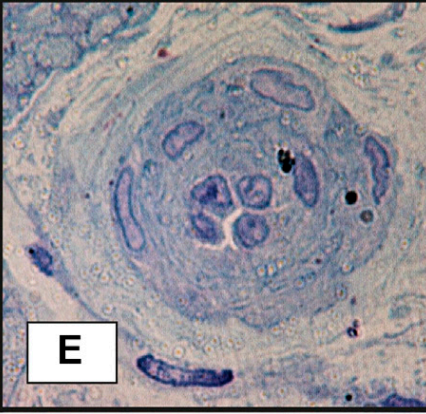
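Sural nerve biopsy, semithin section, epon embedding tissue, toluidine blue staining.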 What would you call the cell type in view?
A: Reactive endothelial cells.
